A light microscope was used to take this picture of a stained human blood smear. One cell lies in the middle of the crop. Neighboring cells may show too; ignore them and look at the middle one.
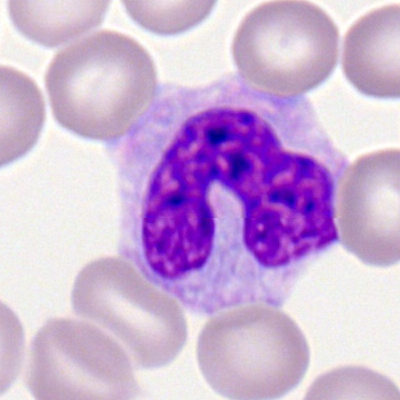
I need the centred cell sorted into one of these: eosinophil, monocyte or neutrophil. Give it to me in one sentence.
On this slide crop, the central cell is a monocyte.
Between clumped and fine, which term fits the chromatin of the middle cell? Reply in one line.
You can see that its chromatin is coarsely clumped.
